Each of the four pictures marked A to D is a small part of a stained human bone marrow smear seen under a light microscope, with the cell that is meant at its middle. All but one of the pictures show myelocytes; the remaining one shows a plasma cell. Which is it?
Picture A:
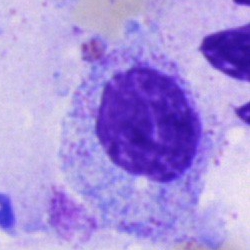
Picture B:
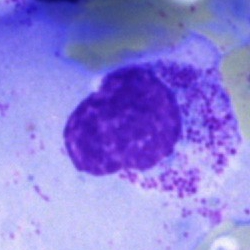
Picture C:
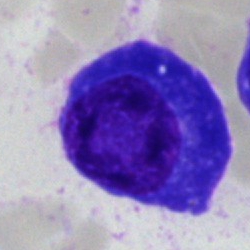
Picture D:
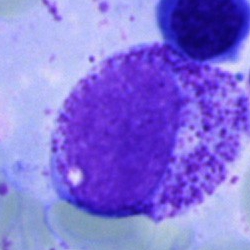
C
